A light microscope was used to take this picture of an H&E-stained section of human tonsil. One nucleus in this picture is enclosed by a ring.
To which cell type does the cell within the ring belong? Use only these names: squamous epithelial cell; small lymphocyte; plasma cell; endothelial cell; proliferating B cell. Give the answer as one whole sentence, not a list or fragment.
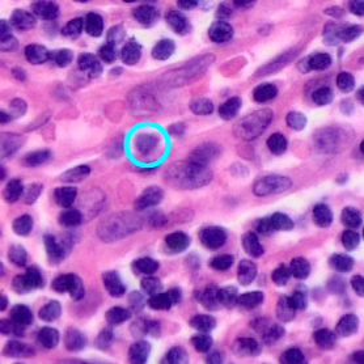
In this section, the cell within the ring is an endothelial cell.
